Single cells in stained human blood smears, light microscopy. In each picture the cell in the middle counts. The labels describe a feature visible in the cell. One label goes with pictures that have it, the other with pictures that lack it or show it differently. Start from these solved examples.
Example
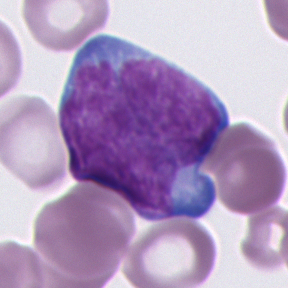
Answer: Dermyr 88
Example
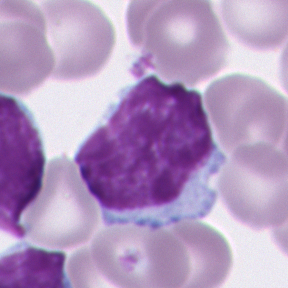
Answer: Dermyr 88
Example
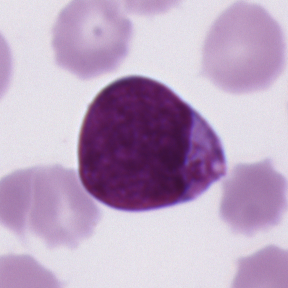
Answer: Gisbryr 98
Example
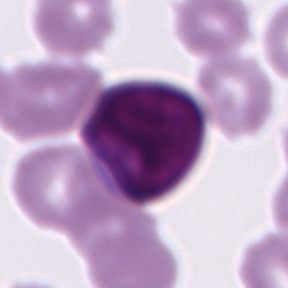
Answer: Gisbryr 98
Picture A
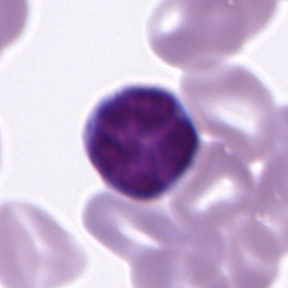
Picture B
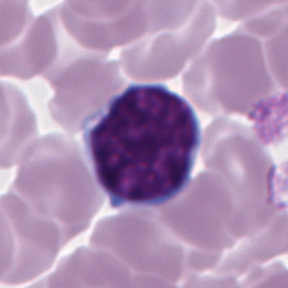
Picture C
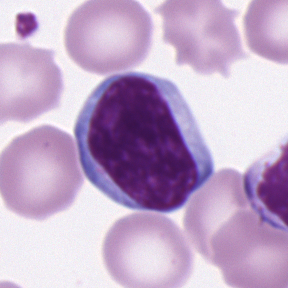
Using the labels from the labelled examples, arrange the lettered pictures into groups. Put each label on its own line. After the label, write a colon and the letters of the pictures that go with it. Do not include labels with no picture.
Dermyr 88: B
Gisbryr 98: A, C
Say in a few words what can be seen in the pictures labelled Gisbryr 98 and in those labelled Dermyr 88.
Seen in Gisbryr 98: smooth outline; seen in Dermyr 88: ragged outline or projections.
